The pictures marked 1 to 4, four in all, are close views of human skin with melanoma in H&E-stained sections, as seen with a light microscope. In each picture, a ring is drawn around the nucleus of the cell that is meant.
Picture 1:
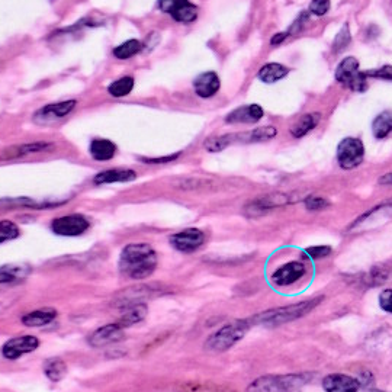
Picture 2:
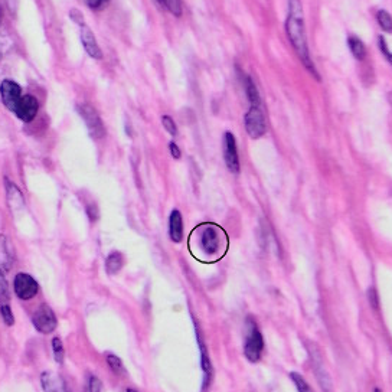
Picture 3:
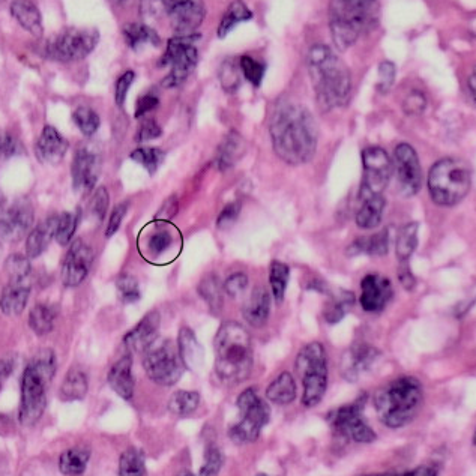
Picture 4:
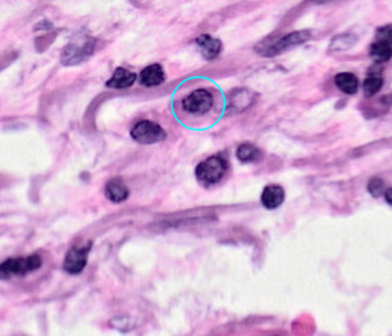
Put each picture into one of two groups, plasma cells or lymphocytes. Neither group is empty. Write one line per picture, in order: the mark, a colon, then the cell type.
1: plasma cell
2: plasma cell
3: lymphocyte
4: plasma cell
